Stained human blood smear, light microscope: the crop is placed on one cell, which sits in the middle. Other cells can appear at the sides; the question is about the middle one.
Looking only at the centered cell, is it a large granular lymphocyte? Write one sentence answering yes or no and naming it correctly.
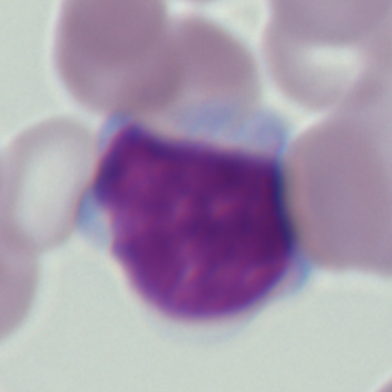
Yes, the cell centred in the field of view is a large granular lymphocyte.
